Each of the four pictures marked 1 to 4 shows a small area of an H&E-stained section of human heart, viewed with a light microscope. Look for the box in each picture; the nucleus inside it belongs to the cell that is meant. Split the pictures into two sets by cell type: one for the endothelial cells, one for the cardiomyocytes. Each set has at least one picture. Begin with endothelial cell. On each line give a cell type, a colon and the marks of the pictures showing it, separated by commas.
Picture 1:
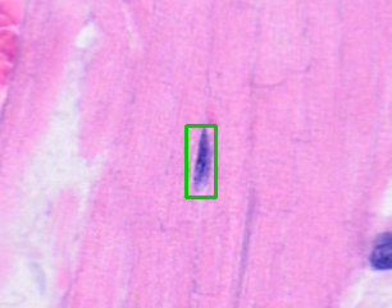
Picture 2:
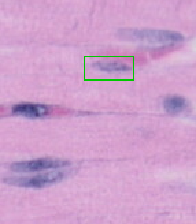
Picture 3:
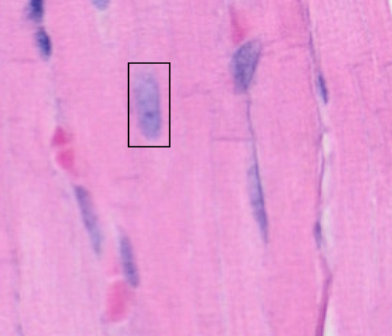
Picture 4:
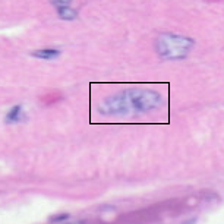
endothelial cell: 1, 2
cardiomyocyte: 3, 4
